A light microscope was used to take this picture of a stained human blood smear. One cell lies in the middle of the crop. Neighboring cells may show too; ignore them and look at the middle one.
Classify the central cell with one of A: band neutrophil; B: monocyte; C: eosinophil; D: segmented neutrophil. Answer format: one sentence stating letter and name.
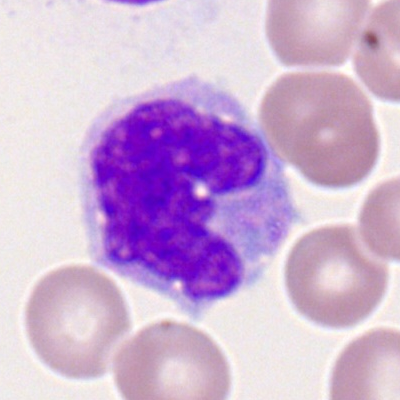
That the central cell is a monocyte makes option B correct.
